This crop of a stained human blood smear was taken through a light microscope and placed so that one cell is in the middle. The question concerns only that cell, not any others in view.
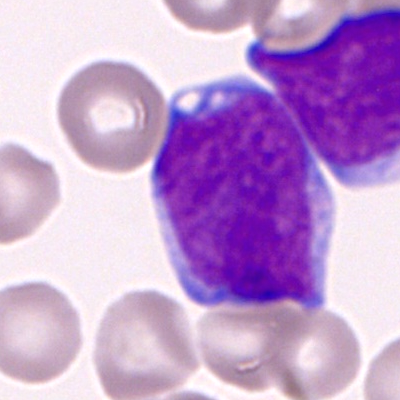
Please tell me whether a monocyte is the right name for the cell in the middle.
no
